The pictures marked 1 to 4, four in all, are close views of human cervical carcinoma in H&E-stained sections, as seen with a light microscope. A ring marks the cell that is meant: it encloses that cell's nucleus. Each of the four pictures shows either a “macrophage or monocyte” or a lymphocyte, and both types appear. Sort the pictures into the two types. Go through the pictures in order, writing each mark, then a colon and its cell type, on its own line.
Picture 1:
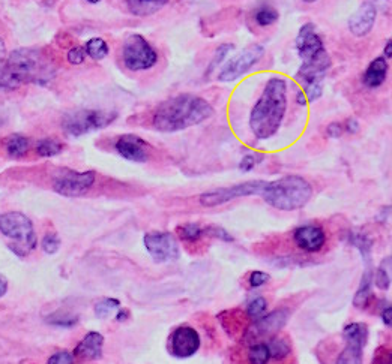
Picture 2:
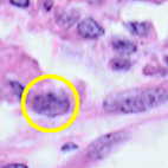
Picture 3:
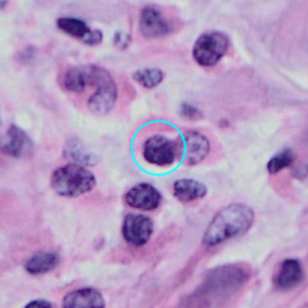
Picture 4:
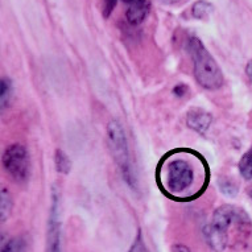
1: macrophage or monocyte
2: macrophage or monocyte
3: lymphocyte
4: lymphocyte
